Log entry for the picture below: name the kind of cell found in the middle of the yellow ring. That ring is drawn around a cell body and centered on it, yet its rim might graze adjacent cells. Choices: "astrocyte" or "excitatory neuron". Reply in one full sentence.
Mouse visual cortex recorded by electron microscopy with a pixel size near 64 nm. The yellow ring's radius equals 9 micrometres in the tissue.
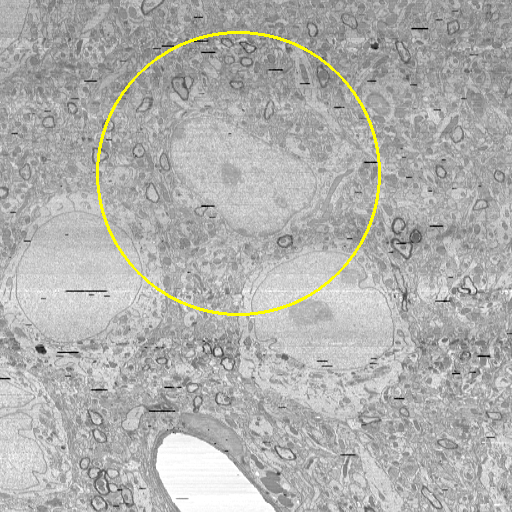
The cell in the middle of the yellow ring in this picture is an astrocyte.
